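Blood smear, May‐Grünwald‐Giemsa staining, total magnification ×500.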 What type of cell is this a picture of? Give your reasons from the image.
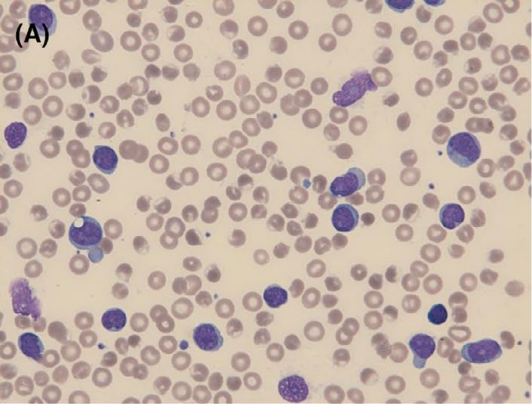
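Many small round nucleated cells are scattered among the red cells.
Hence: lymphocytes.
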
